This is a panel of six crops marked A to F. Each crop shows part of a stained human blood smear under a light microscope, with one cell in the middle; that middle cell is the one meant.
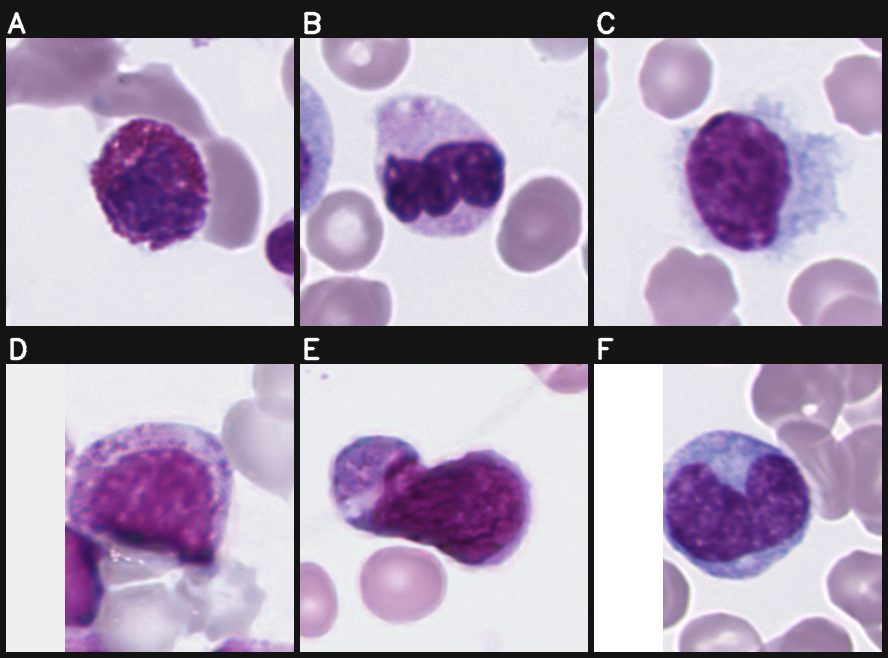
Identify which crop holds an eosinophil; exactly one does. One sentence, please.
Here the crop that shows an eosinophil is crop A.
